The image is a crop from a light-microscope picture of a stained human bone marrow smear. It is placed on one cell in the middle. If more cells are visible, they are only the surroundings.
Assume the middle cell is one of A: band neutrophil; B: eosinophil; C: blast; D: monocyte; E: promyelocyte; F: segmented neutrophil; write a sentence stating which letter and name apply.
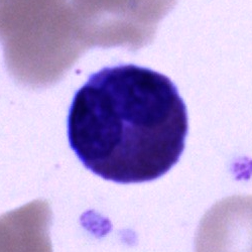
In this crop the central cell is an eosinophil, which option B correctly states.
